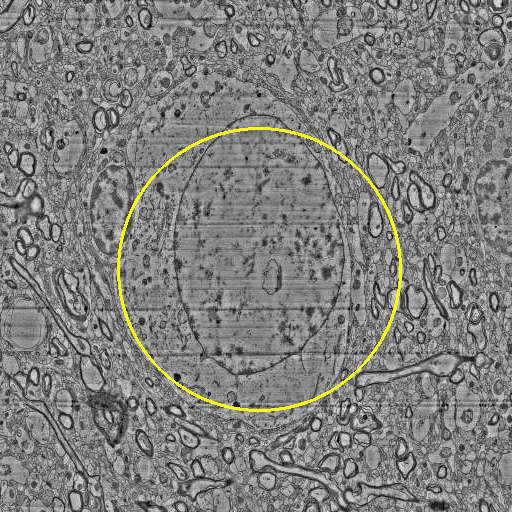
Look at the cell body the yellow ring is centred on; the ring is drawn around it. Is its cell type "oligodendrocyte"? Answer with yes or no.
No, its cell type is another.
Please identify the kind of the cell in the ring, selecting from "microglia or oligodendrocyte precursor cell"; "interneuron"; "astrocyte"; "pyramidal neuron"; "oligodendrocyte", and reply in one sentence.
The ring's central cell is a pyramidal neuron instead.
